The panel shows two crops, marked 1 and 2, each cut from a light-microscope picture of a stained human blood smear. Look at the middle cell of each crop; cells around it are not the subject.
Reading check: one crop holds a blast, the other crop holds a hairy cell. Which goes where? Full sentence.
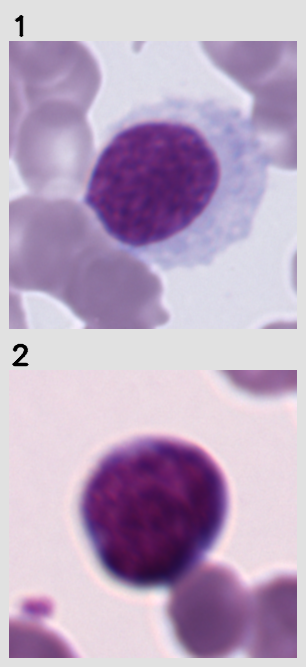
The cell in crop 1 is a hairy cell; the cell in crop 2 is a blast.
